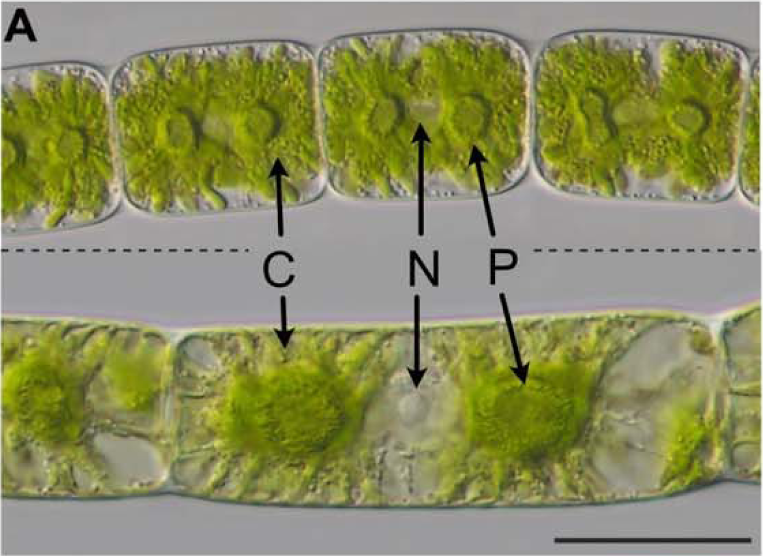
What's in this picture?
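Two unbranched green algal filaments lie one above the other, each a single row of cylindrical cells joined end to end by thin clear walls. In the upper, narrower filament every cell holds two star-shaped green chloroplasts with lobes radiating outward toward the wall, each with a rounded central body, the pyrenoid; a pale nucleus sits between the two chloroplasts.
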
